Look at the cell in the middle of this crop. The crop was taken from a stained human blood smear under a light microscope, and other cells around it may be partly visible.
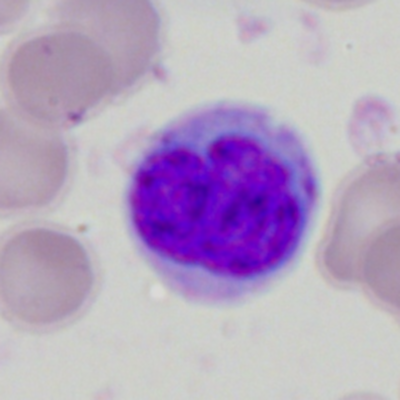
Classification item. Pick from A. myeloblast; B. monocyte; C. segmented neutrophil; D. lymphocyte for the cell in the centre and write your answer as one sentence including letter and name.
The central cell in this crop is a monocyte, so the correct choice is option B.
